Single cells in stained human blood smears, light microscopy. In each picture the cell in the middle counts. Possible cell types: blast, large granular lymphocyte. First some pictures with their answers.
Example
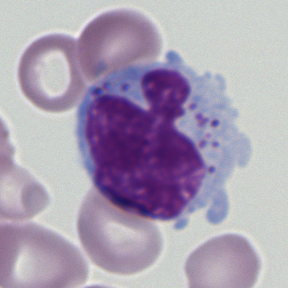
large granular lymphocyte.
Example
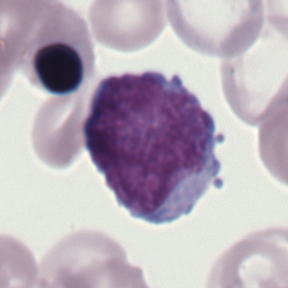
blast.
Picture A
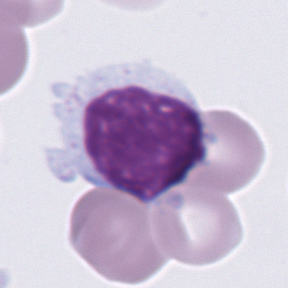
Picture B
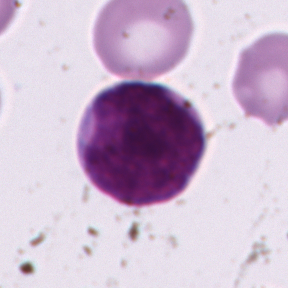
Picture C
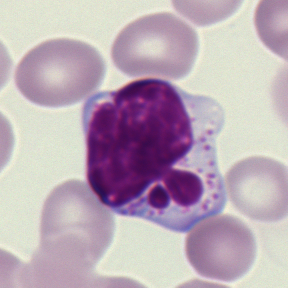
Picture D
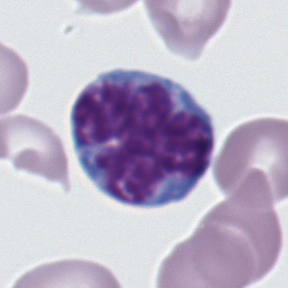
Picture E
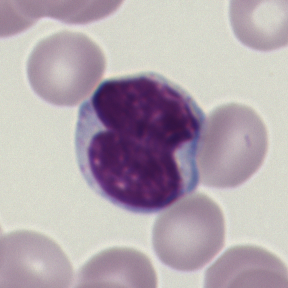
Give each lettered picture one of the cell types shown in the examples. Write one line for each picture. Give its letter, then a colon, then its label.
A: large granular lymphocyte.
B: blast.
C: large granular lymphocyte.
D: blast.
E: large granular lymphocyte.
